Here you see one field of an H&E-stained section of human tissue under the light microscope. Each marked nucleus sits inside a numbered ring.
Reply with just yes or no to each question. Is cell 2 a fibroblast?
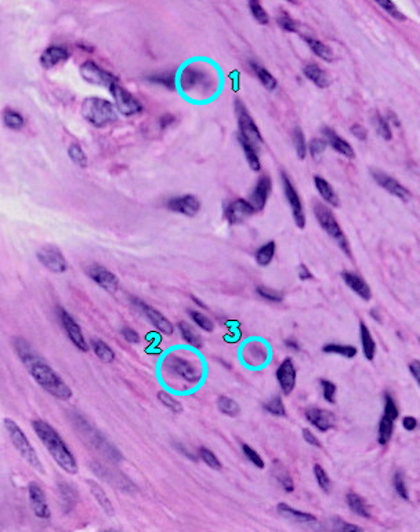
no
